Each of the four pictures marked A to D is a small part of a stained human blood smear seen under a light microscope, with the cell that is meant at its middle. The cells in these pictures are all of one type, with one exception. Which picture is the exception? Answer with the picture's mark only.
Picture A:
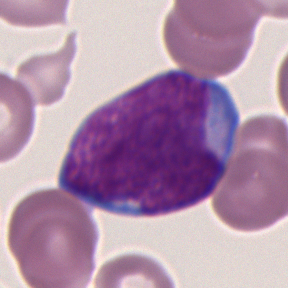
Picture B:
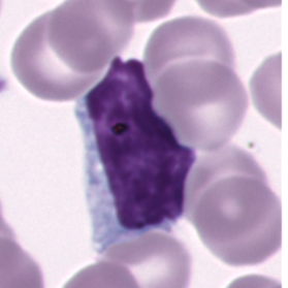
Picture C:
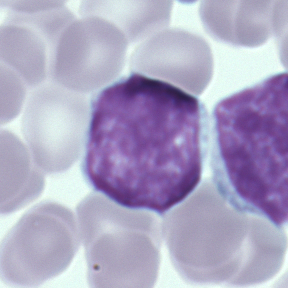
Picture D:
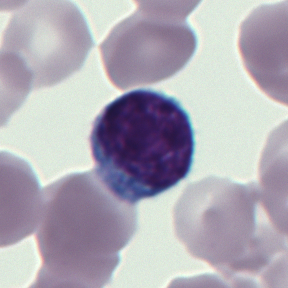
A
